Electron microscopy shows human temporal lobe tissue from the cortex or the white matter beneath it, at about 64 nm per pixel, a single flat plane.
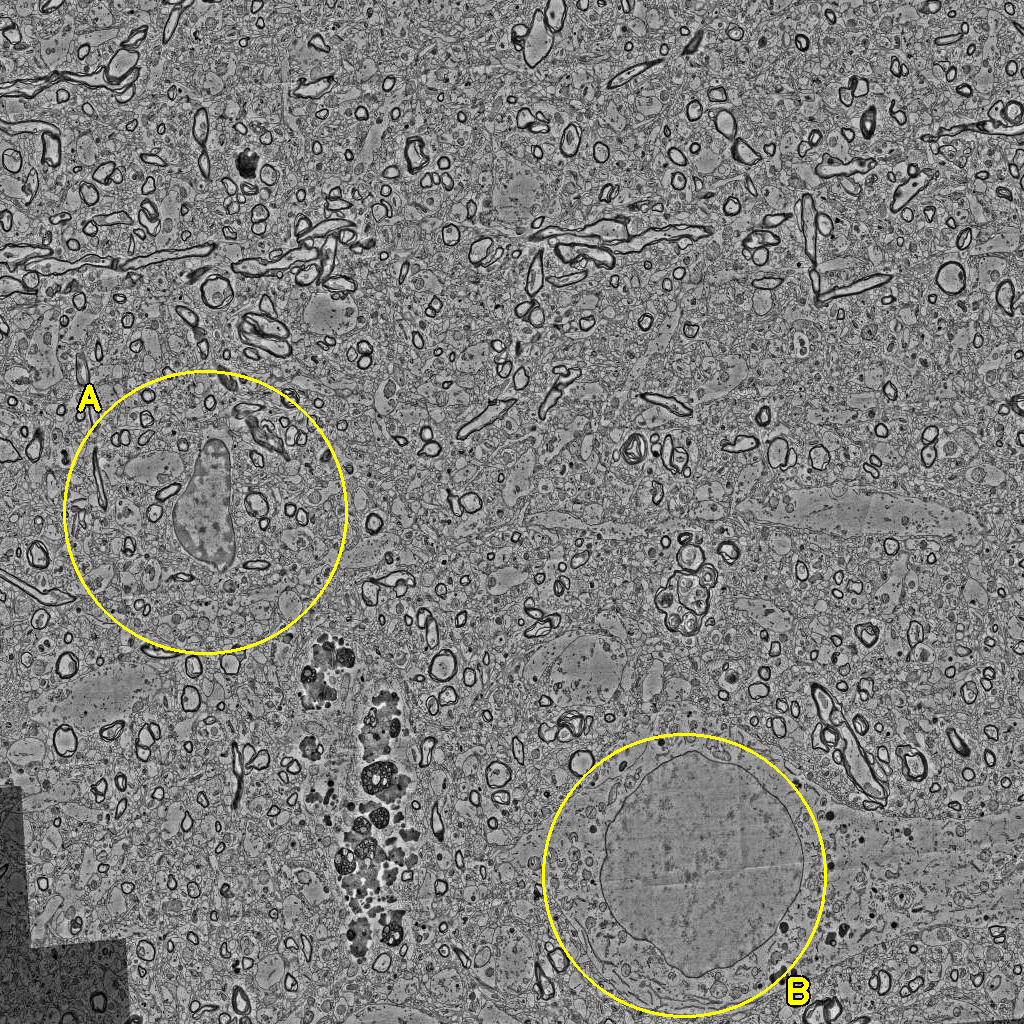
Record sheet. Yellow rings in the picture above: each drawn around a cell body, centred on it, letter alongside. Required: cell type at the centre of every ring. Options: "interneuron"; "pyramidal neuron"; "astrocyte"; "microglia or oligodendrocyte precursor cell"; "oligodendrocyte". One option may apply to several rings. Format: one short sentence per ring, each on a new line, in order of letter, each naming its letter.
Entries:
Ring A contains a microglial cell or oligodendrocyte precursor cell at the centre.
Ring B contains a pyramidal neuron at the centre.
